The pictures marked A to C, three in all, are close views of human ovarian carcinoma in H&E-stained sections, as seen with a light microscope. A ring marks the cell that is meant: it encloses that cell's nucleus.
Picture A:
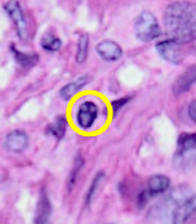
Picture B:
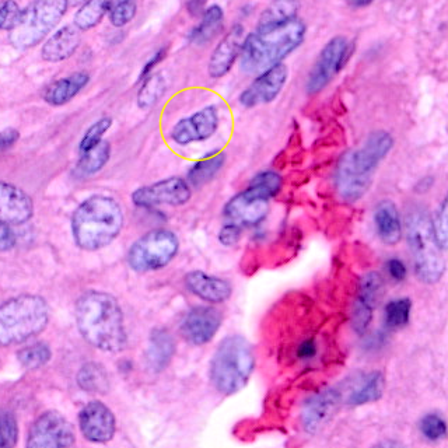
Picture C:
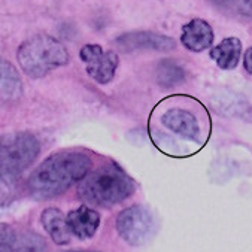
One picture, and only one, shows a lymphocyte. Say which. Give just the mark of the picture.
A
